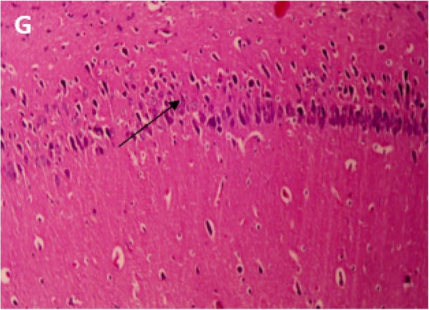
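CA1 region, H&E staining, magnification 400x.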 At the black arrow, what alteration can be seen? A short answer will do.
apoptotic neurons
